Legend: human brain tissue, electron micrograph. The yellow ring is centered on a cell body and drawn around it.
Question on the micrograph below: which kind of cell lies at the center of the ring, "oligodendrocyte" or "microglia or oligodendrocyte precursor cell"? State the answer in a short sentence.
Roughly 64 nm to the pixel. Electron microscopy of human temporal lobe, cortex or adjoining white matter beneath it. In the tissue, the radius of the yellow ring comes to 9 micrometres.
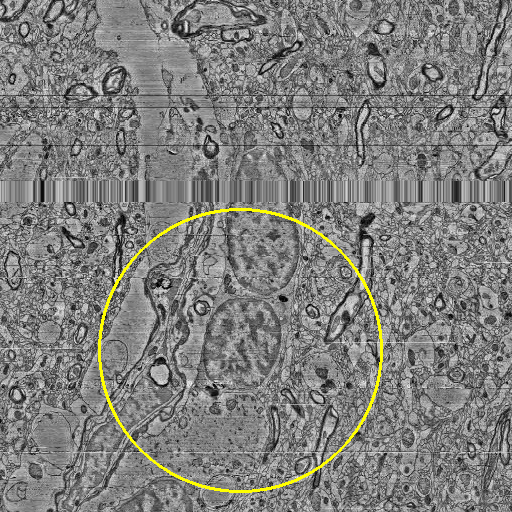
At the center of the ring lies an oligodendrocyte.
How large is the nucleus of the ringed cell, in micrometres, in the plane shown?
About 6 micrometres by about 5 micrometres in this plane.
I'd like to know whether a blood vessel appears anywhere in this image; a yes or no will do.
Yes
